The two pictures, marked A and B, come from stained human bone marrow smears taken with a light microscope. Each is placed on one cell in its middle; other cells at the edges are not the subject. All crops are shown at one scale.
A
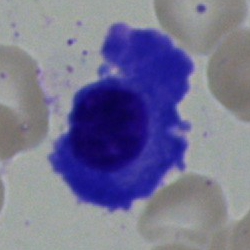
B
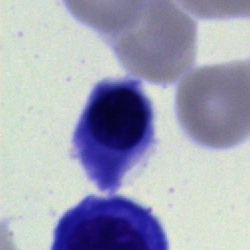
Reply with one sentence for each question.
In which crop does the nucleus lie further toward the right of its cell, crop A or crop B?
The nucleus in crop B lies further toward the right of its cell.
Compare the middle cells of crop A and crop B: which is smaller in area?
Crop B holds the smaller cell, since the cell in crop A covers about 2.5 times as much area.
